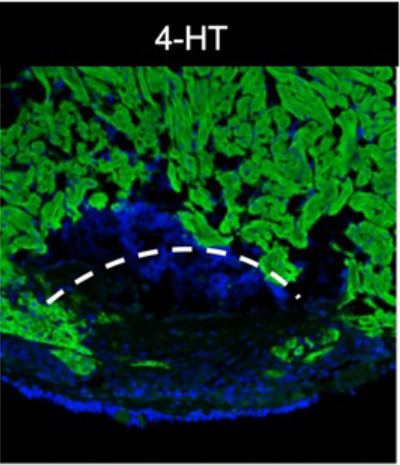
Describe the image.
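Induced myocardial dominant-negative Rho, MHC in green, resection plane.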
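This is the apex of a heart ventricle, with green heart muscle fibres forming a spongy meshwork of bundles in the upper part. Under the dashed arc the green muscle largely stops, and the space is filled by tissue with crowded blue nuclei and little green.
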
